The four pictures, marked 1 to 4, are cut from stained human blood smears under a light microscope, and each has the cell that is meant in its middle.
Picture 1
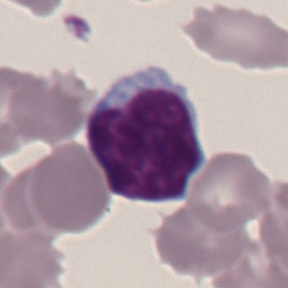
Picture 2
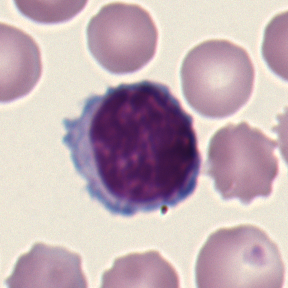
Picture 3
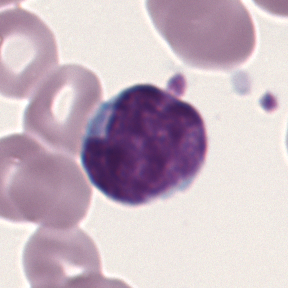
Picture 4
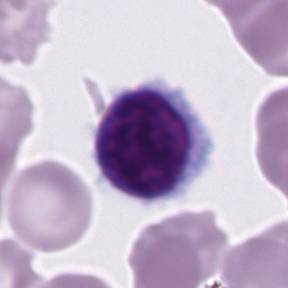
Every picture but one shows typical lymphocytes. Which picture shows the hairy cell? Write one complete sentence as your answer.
Picture 4 is the one that shows the hairy cell.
